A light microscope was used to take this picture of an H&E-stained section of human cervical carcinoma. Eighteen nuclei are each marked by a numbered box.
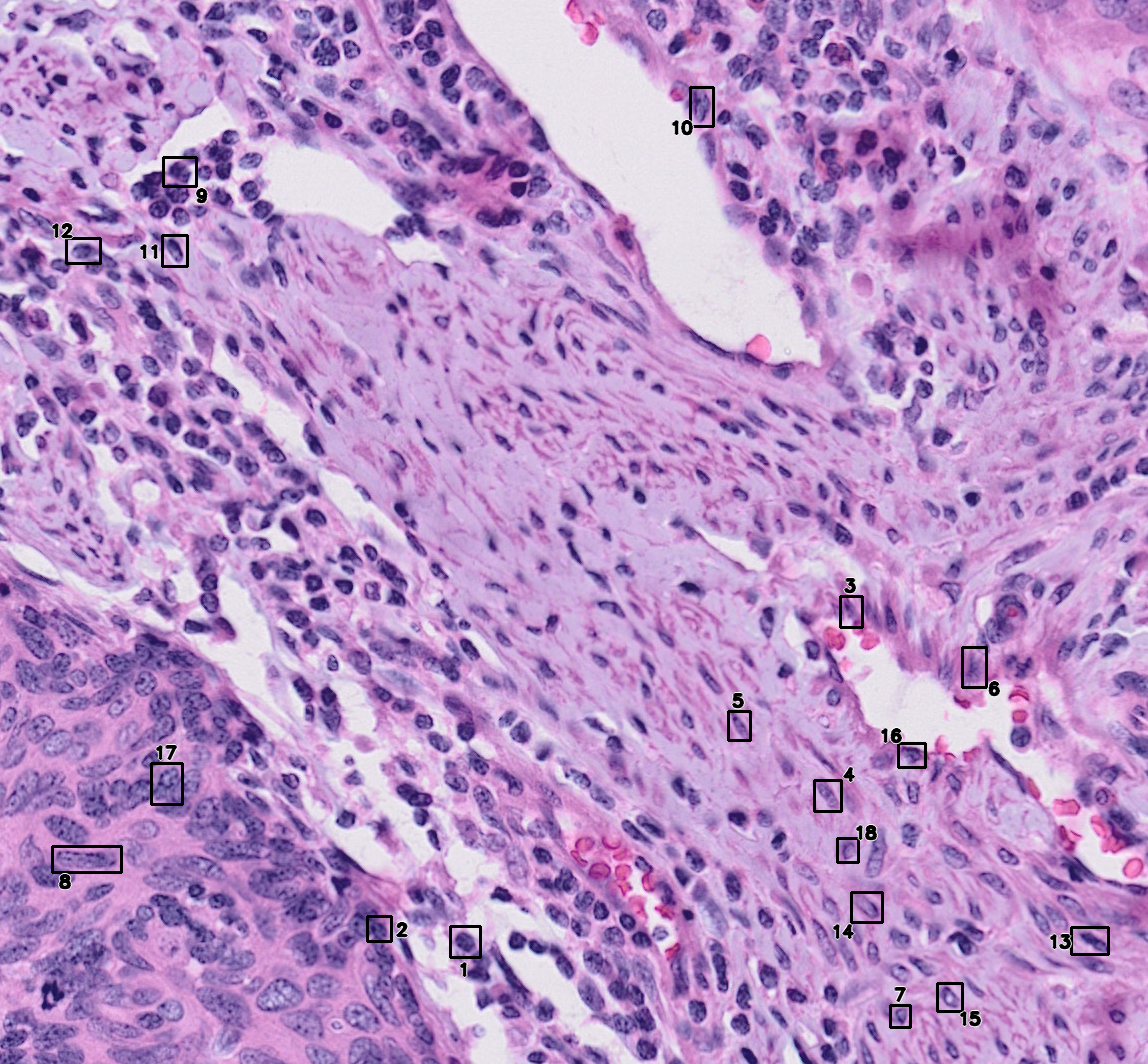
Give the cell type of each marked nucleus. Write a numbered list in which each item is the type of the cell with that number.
1. lymphocyte
2. squamous carcinoma cell
3. endothelial cell
4. smooth muscle cell
5. smooth muscle cell
6. endothelial cell
7. smooth muscle cell
8. squamous carcinoma cell
9. lymphocyte
10. endothelial cell
11. lymphocyte
12. lymphocyte
13. lymphocyte
14. smooth muscle cell
15. smooth muscle cell
16. endothelial cell
17. squamous carcinoma cell
18. smooth muscle cell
